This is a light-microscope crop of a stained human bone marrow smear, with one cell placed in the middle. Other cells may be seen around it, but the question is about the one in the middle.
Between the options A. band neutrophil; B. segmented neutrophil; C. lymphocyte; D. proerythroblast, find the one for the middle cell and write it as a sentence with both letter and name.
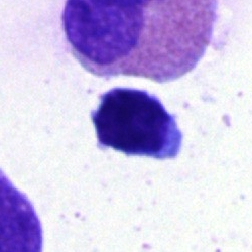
Located in the middle of the crop is a lymphocyte, and option C is therefore correct.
